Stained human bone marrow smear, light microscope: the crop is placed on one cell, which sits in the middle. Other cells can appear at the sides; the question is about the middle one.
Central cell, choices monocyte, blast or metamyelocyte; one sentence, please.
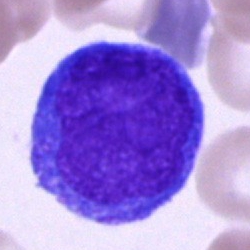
The cell at the middle of the frame should be recorded as a blast.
